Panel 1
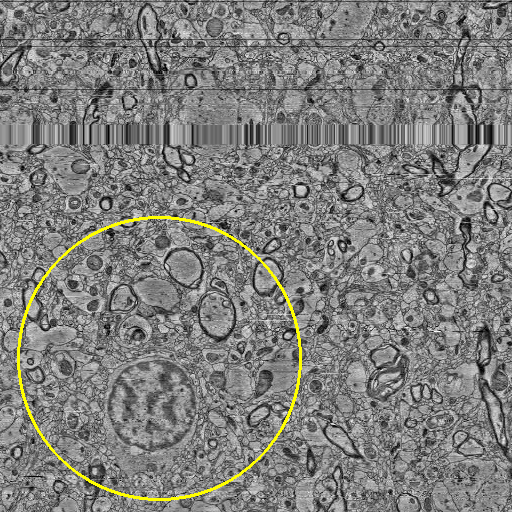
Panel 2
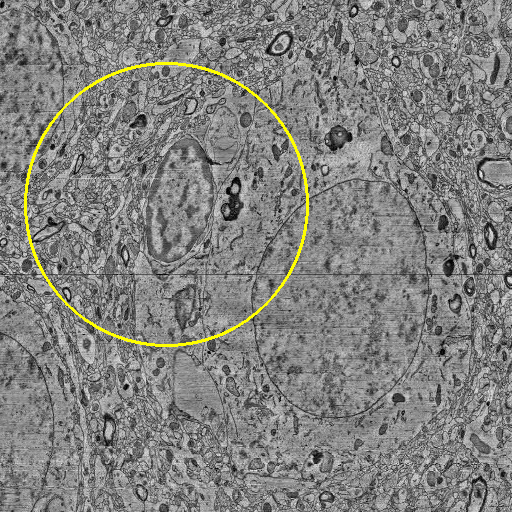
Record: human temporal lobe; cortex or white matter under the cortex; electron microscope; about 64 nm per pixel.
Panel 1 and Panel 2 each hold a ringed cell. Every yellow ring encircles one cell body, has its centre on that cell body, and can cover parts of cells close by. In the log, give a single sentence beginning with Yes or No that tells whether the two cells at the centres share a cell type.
No, in Panel 1 and Panel 2 the centred cells are of two cell types.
